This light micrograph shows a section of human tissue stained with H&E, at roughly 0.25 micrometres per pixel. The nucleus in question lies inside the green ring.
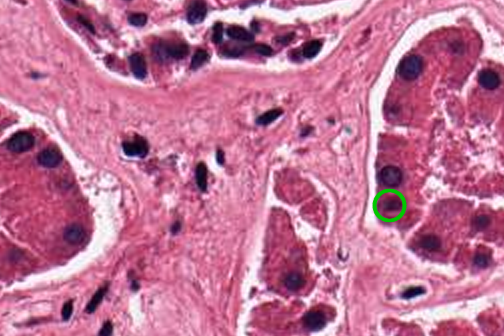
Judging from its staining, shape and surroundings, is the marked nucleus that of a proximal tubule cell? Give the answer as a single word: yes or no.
yes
